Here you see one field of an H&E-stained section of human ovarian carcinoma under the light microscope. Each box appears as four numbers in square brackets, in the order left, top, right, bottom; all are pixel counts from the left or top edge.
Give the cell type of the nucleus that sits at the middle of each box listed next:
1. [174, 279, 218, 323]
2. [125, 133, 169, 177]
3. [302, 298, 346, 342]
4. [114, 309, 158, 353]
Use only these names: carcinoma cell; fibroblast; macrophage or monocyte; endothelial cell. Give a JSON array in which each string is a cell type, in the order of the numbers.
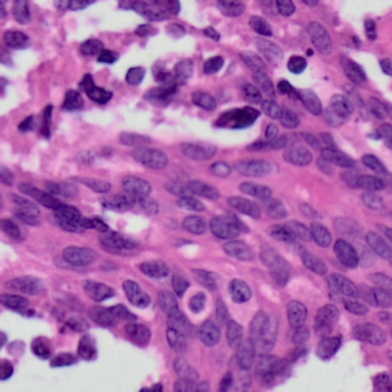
["macrophage or monocyte", "carcinoma cell", "carcinoma cell", "carcinoma cell"]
